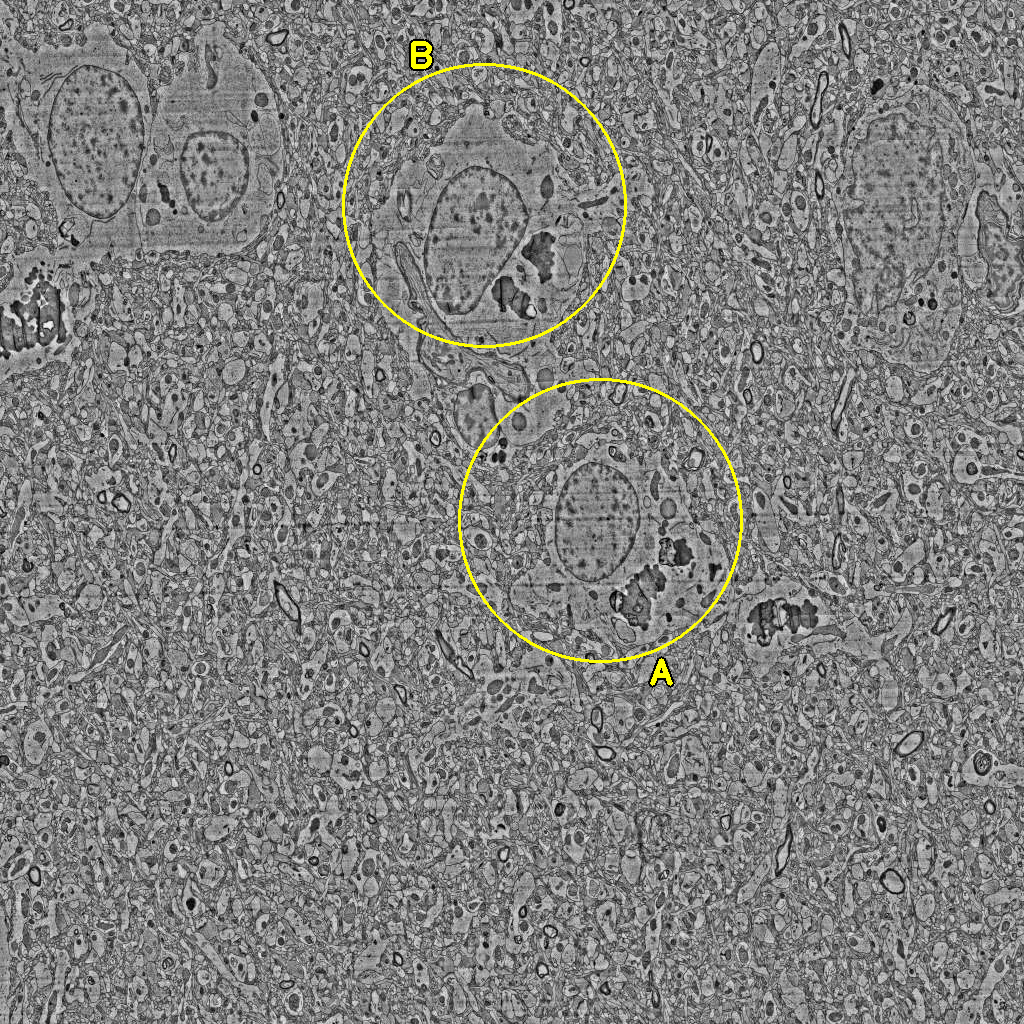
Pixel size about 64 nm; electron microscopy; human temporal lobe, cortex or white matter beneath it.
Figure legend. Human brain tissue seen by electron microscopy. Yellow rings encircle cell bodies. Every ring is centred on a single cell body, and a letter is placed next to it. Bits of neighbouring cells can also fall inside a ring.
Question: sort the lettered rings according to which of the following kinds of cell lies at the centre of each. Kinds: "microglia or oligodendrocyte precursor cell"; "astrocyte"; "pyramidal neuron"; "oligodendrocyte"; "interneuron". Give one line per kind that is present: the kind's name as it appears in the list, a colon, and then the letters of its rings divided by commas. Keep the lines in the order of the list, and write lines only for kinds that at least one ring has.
astrocyte: A, B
